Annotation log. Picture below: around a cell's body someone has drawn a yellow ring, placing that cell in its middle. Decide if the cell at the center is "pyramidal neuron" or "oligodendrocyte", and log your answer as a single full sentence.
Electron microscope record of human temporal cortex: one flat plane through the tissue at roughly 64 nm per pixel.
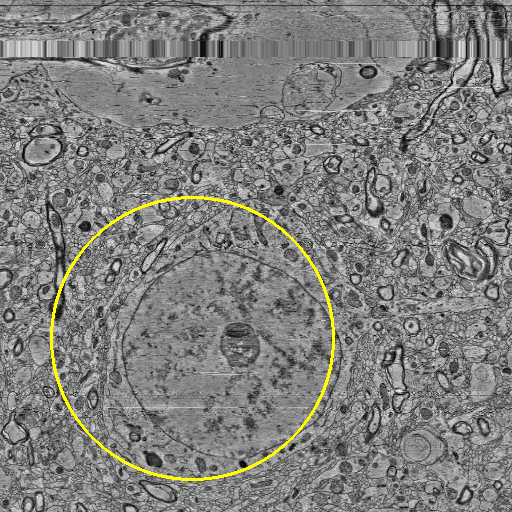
My entry records a pyramidal neuron as the cell sitting at the center of the yellow ring.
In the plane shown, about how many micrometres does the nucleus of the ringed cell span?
Roughly 14 micrometers across in this plane.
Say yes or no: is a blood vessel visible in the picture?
Yes, one appears.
